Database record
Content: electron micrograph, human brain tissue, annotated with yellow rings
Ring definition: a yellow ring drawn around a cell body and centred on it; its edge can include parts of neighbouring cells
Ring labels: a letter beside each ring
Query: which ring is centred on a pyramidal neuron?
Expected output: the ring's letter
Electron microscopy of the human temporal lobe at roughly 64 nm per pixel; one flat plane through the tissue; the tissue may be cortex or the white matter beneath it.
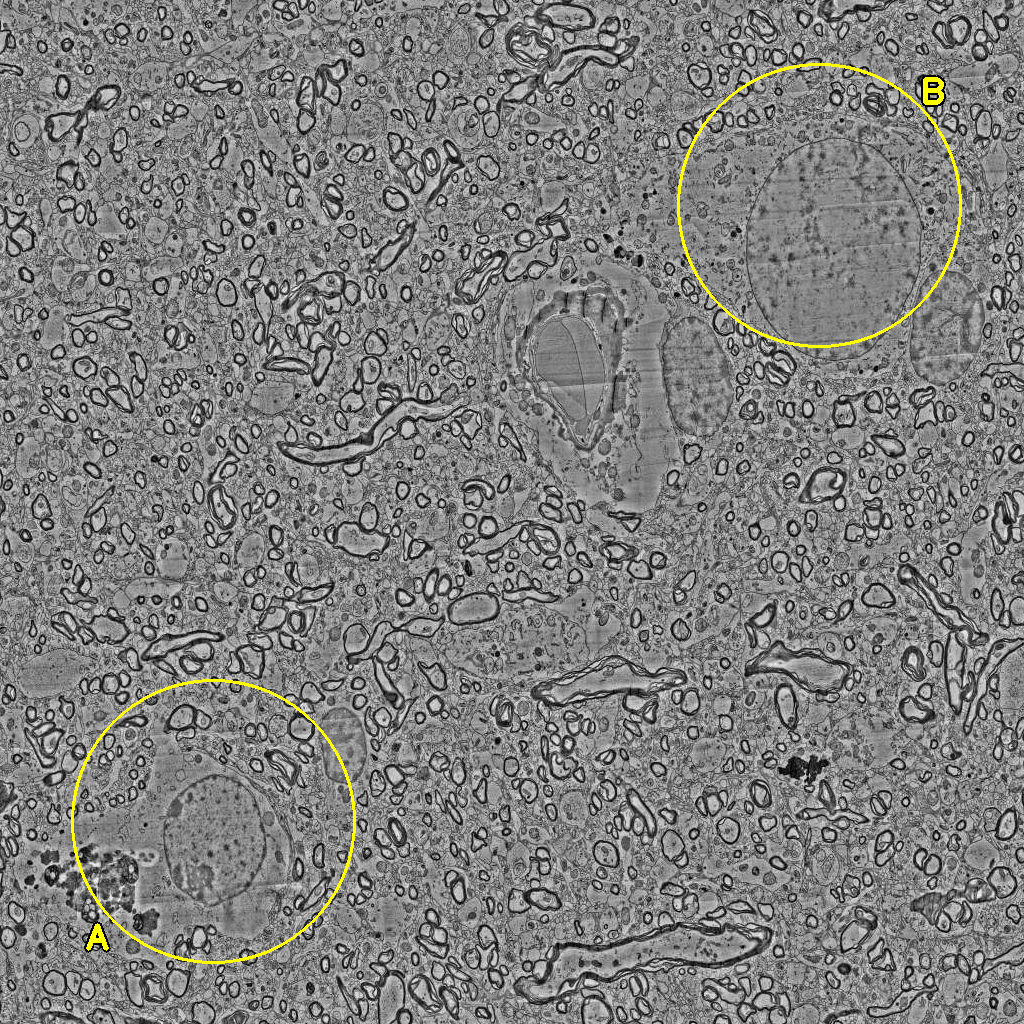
B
